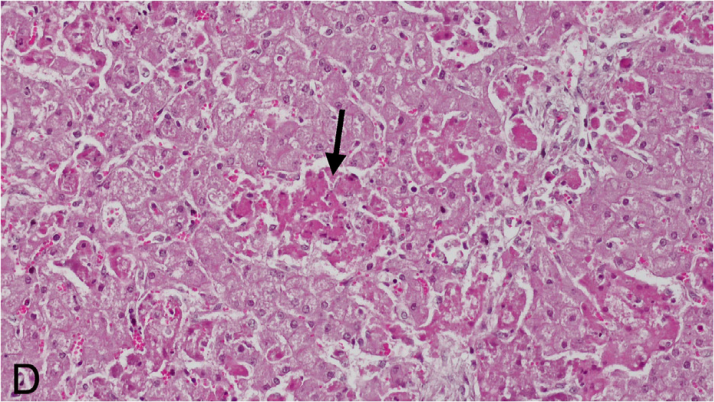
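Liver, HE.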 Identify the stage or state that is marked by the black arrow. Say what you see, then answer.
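A cluster of liver cells with intensely pink, clumped cytoplasm. Nuclei are missing or indistinct in these cells compared with neighbouring cells.
Hence: necrotic hepatocytes.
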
